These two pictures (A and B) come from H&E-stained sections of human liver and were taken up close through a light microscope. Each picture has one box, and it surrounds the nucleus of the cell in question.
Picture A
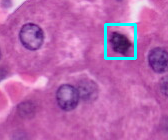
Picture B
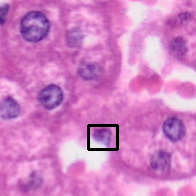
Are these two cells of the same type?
yes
